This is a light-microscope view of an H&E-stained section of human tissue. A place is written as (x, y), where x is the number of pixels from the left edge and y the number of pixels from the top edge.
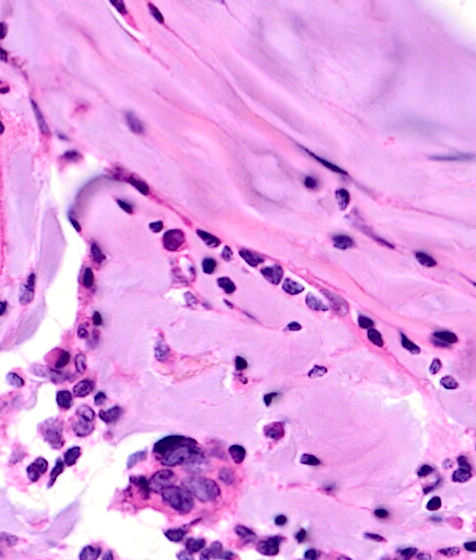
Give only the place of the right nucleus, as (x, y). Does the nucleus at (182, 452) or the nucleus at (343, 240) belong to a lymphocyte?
(343, 240)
